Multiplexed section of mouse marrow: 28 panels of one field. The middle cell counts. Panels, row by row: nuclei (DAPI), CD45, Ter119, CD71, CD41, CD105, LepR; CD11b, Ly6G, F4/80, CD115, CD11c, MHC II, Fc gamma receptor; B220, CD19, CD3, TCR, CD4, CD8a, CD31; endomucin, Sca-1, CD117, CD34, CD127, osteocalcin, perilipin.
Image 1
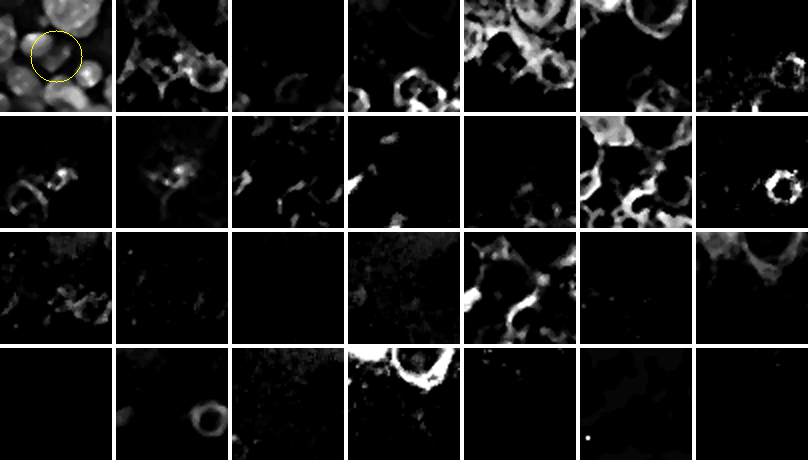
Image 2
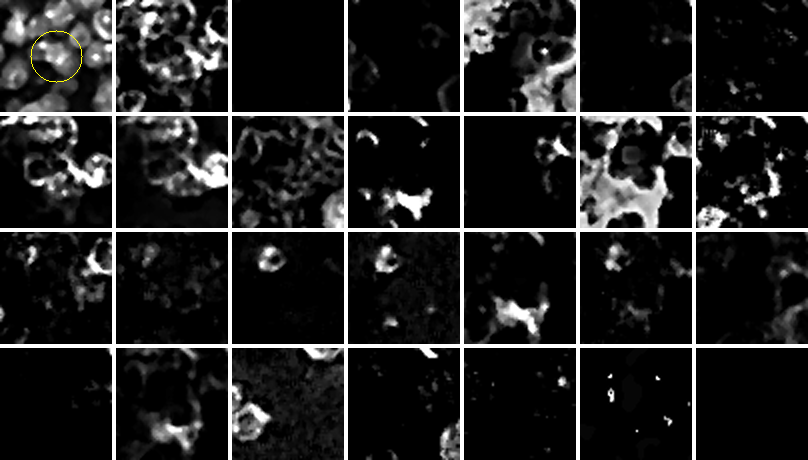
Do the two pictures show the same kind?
Yes, both are neutrophils.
